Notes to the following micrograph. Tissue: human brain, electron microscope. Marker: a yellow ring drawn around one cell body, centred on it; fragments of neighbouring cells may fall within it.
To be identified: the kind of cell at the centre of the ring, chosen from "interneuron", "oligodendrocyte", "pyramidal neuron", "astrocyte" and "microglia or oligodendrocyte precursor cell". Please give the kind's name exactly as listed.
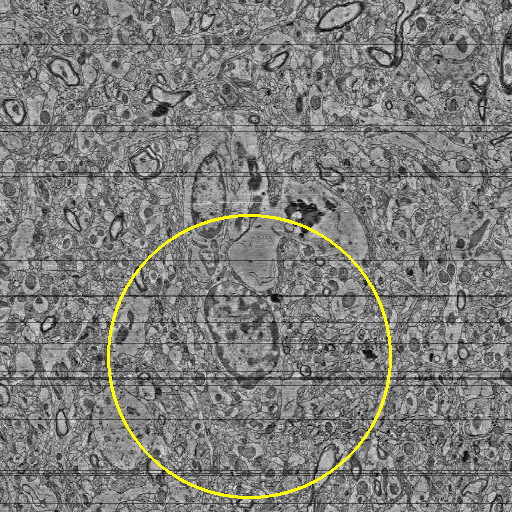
microglia or oligodendrocyte precursor cell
